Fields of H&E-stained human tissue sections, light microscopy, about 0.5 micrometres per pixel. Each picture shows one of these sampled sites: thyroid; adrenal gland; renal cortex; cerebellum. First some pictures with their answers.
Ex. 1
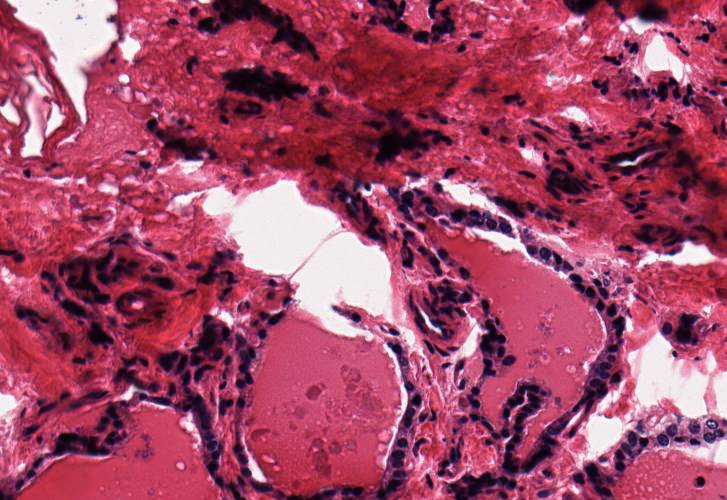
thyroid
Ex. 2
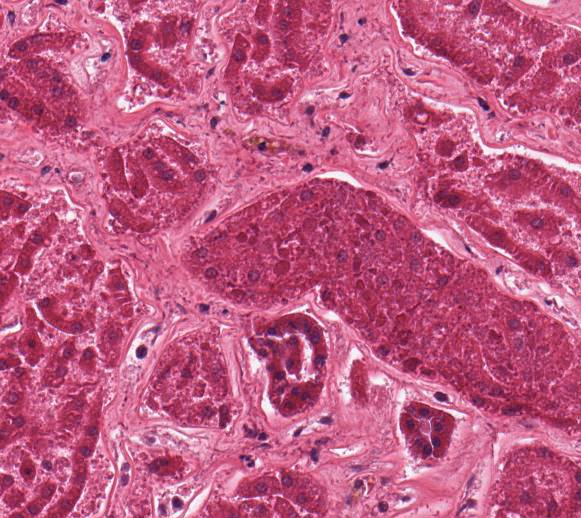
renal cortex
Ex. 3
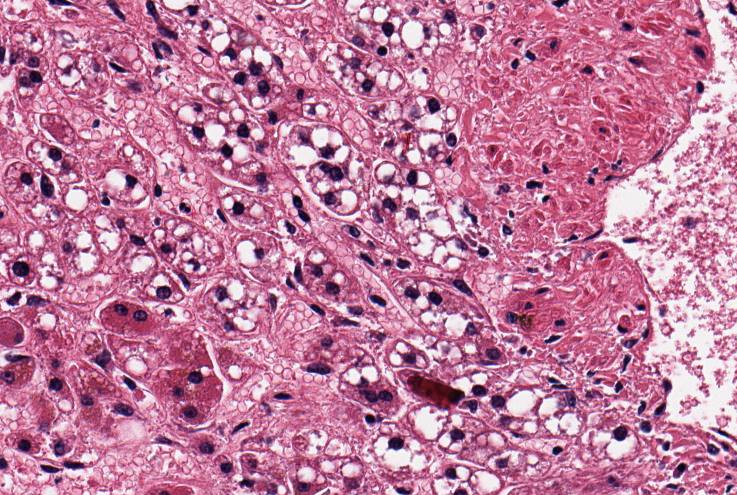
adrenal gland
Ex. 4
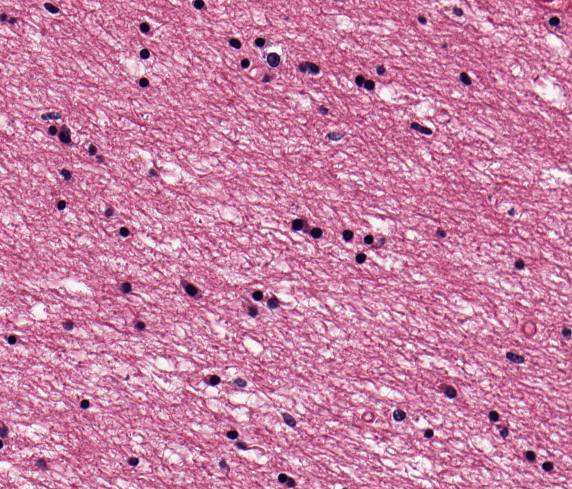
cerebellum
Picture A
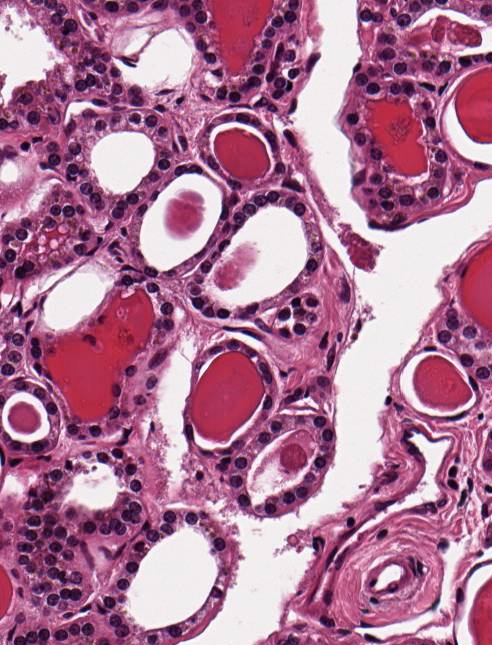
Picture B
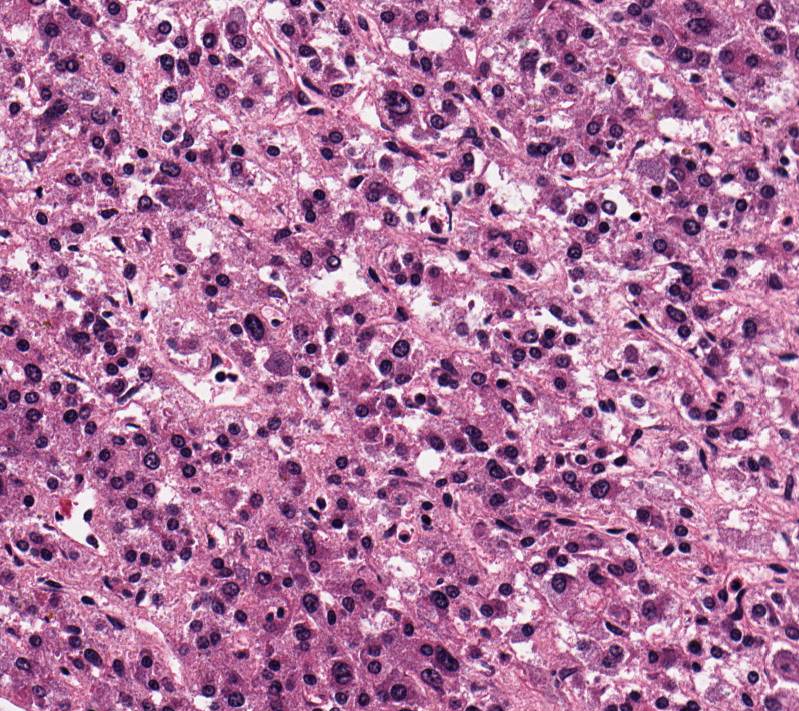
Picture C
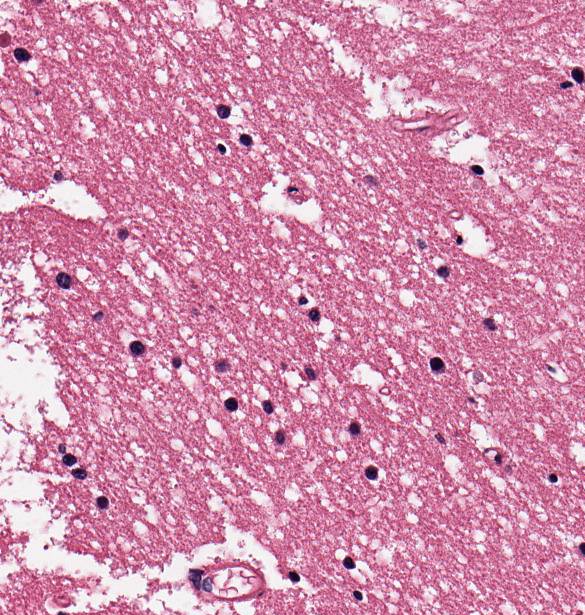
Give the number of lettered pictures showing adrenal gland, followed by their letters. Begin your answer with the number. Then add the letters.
1, namely B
